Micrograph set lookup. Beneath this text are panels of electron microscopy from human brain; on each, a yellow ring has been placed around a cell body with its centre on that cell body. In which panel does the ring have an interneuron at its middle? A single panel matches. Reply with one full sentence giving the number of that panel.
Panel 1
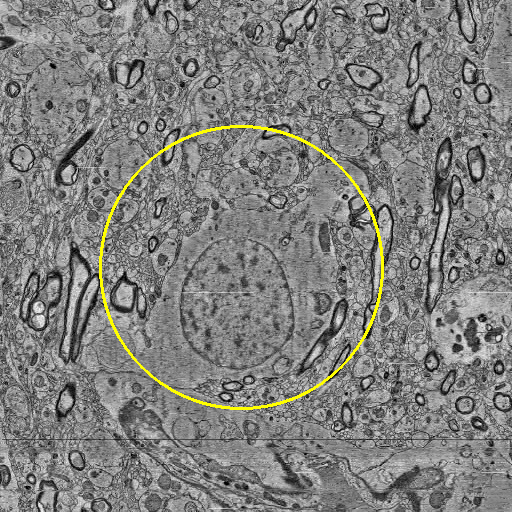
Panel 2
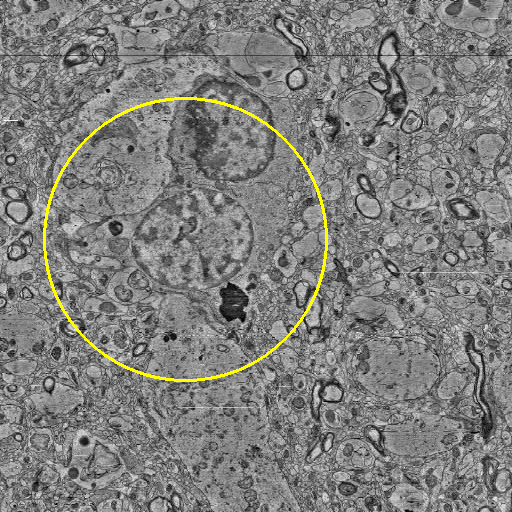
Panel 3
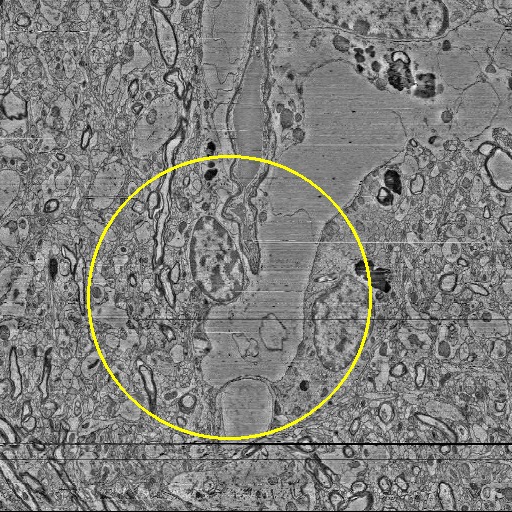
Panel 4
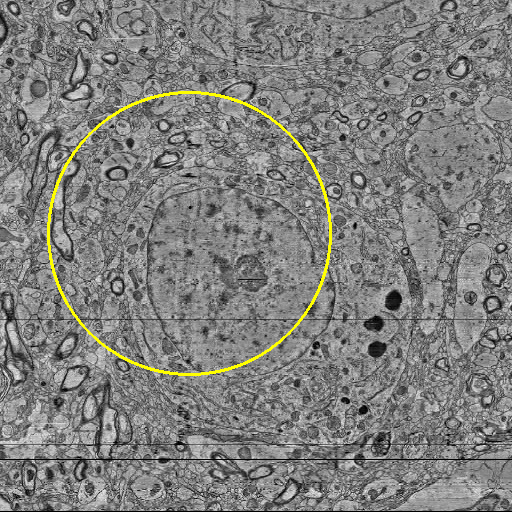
Panel 4 is the one whose ring has the sought cell at its centre.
